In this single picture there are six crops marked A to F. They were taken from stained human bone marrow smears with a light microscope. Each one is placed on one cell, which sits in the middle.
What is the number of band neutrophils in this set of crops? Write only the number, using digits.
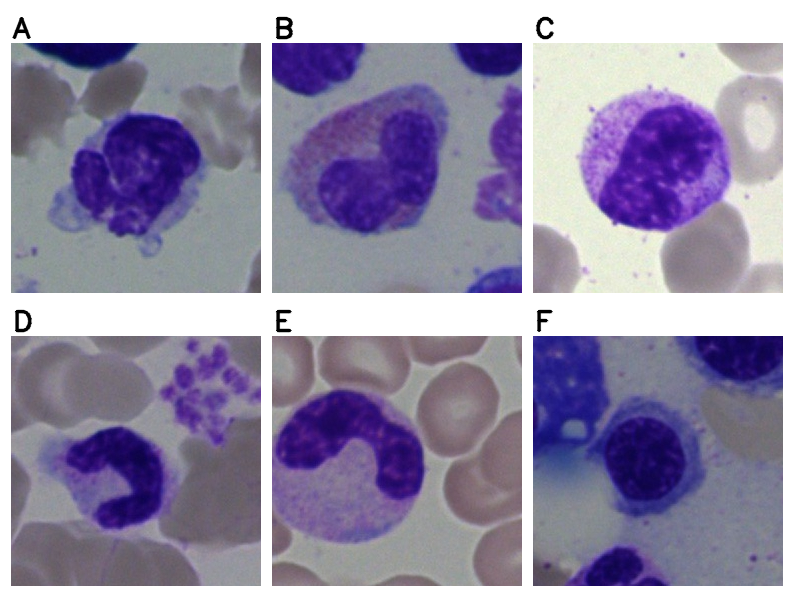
2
